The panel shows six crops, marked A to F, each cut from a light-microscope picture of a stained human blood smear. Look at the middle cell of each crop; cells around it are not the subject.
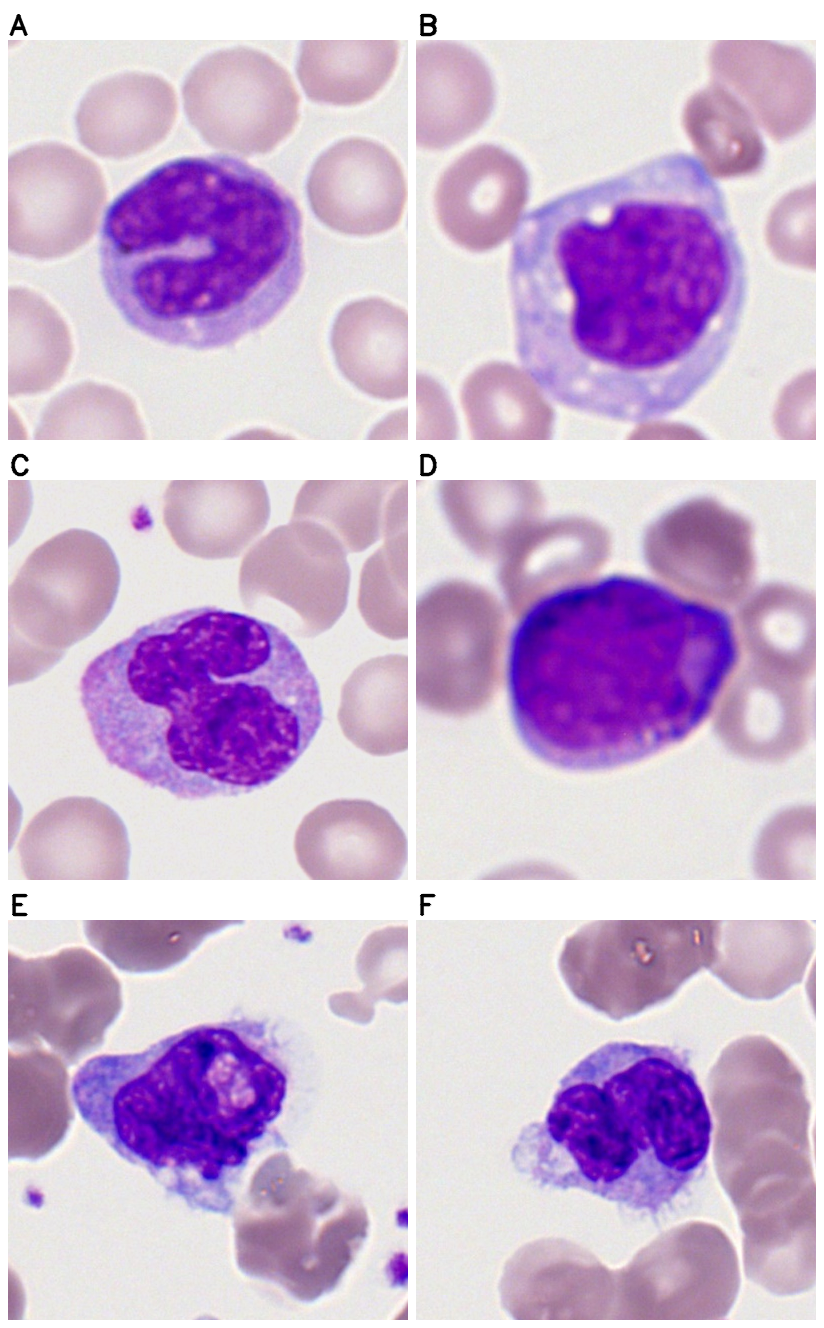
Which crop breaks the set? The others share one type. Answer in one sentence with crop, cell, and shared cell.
Crop D shows a blast, while all of the others show monocytes.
